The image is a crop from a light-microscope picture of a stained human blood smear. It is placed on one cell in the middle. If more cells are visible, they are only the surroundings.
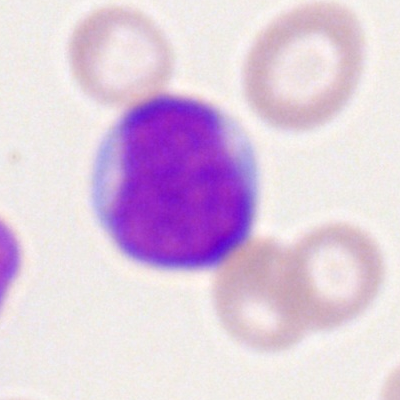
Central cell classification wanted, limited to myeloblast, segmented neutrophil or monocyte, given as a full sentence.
This crop is built around a myeloblast at its centre.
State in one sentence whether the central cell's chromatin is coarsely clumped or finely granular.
The chromatin is fine, with no coarse clumping anywhere.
